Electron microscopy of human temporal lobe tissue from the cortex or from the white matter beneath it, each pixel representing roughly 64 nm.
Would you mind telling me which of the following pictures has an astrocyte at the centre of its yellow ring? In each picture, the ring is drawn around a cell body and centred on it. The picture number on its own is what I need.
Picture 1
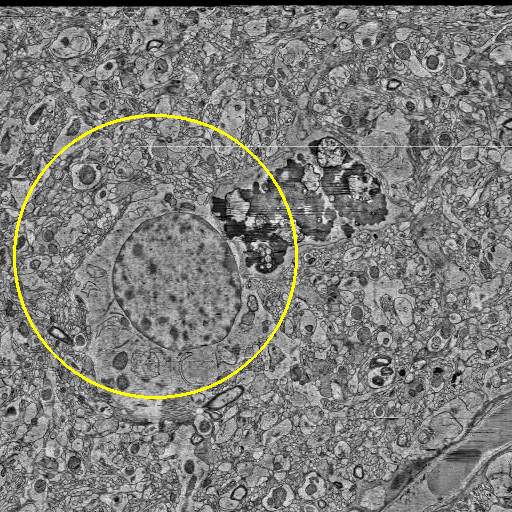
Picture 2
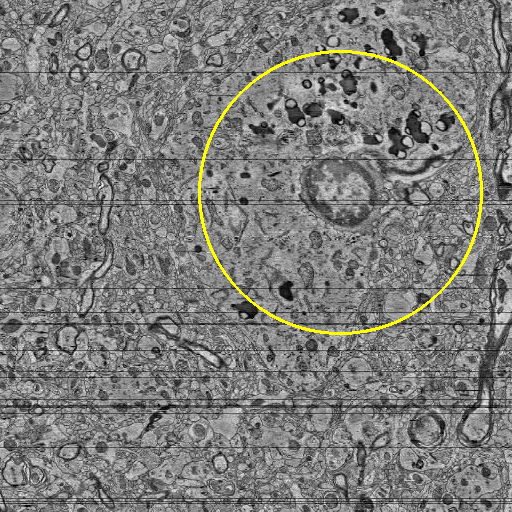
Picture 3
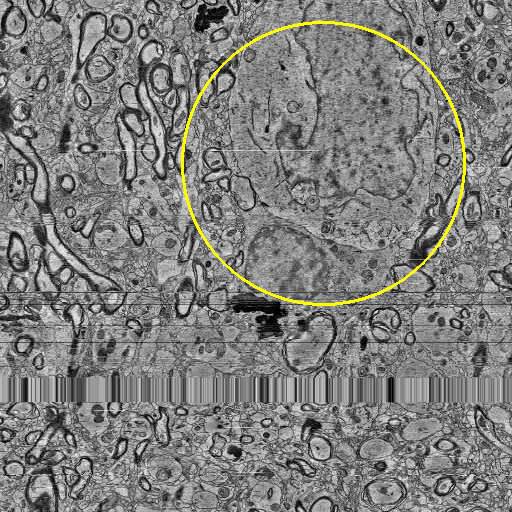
1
